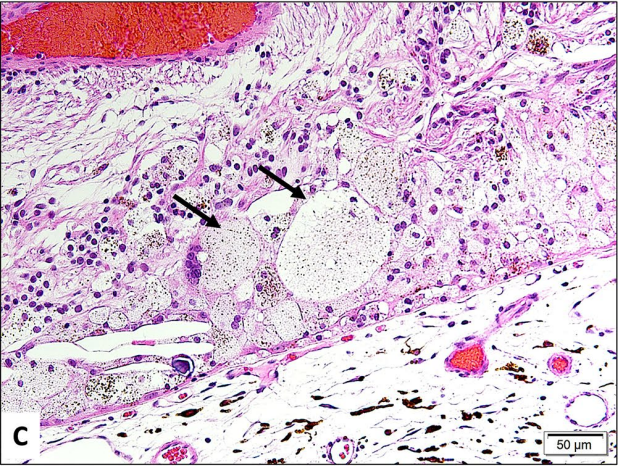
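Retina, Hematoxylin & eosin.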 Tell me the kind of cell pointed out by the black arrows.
foamy macrophages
